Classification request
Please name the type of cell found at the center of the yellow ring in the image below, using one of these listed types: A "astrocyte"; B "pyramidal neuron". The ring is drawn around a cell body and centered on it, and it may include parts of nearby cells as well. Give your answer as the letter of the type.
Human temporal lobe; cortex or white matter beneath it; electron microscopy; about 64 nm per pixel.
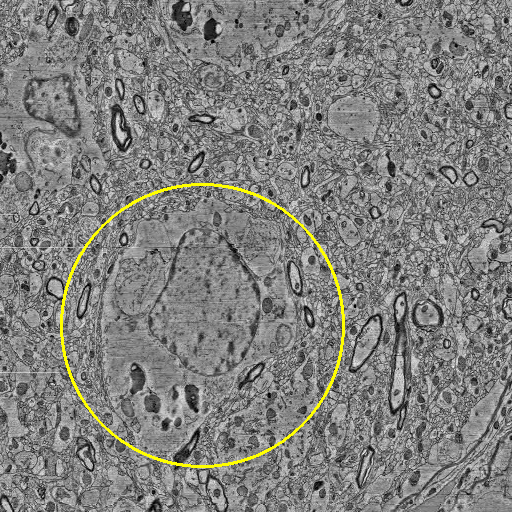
A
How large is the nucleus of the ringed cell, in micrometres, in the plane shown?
Roughly 10 micrometres by 7 micrometres, in this plane.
